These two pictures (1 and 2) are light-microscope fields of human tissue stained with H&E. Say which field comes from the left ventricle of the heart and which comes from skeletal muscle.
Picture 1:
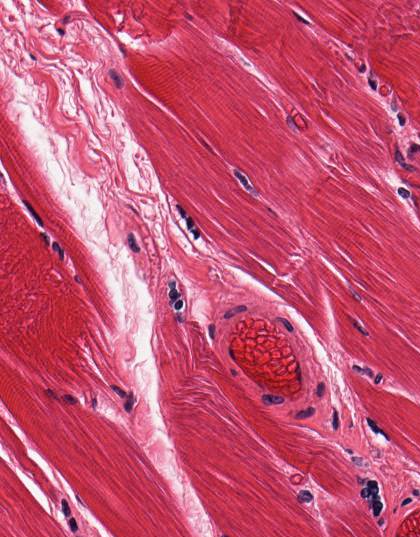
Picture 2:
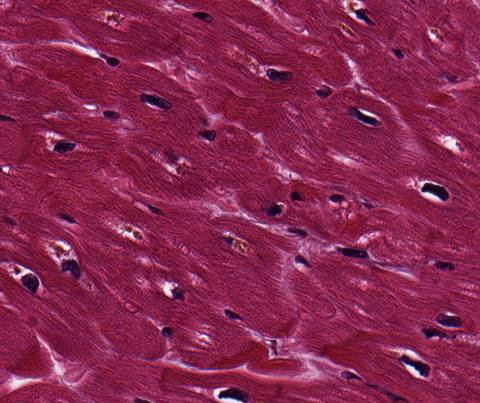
1: skeletal muscle
2: left ventricle of the heart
